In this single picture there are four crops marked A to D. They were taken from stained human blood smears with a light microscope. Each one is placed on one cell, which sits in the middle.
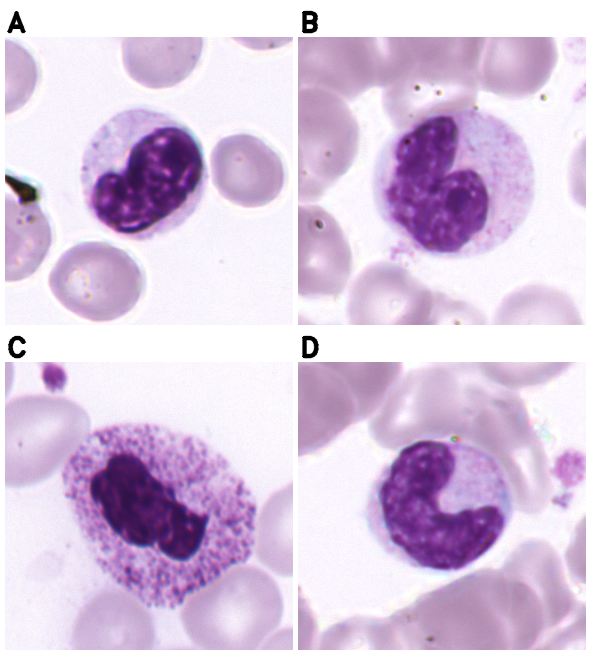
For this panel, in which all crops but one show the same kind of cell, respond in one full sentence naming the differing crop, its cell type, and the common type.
What sets crop C apart is that it shows a segmented neutrophil, while the others show band neutrophils.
